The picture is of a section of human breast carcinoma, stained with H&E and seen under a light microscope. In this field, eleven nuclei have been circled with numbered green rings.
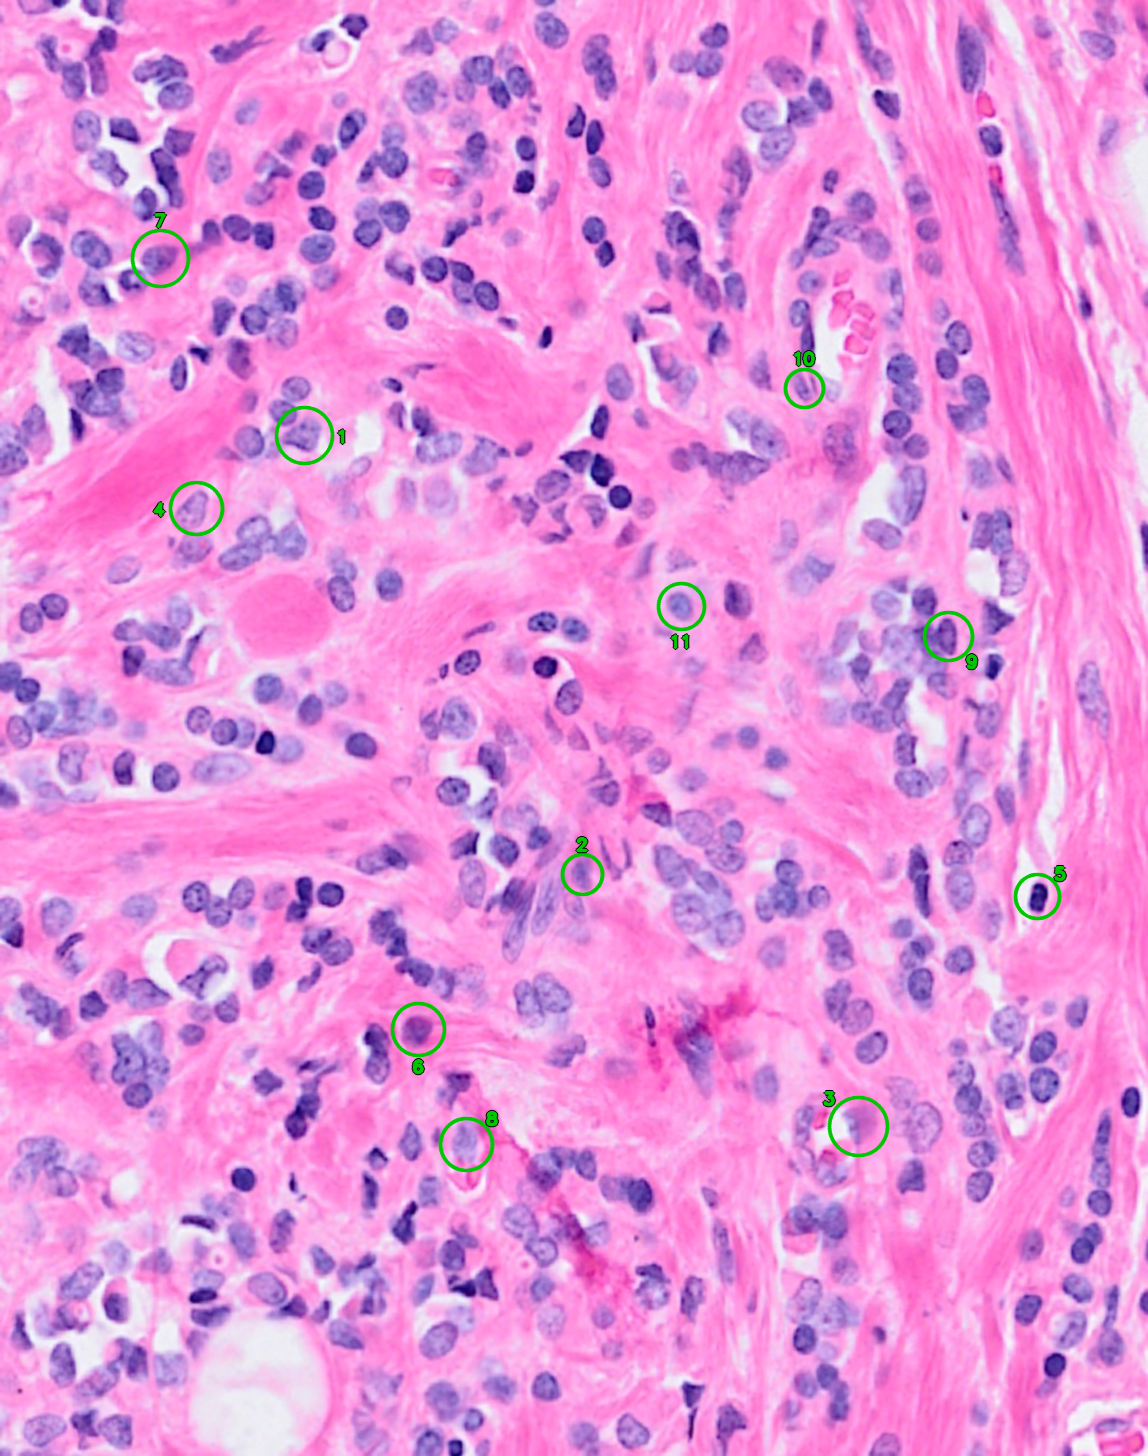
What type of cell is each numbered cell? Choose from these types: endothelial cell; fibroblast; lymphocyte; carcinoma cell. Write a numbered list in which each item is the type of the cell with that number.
1. carcinoma cell
2. endothelial cell
3. endothelial cell
4. carcinoma cell
5. lymphocyte
6. carcinoma cell
7. carcinoma cell
8. endothelial cell
9. carcinoma cell
10. endothelial cell
11. endothelial cell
